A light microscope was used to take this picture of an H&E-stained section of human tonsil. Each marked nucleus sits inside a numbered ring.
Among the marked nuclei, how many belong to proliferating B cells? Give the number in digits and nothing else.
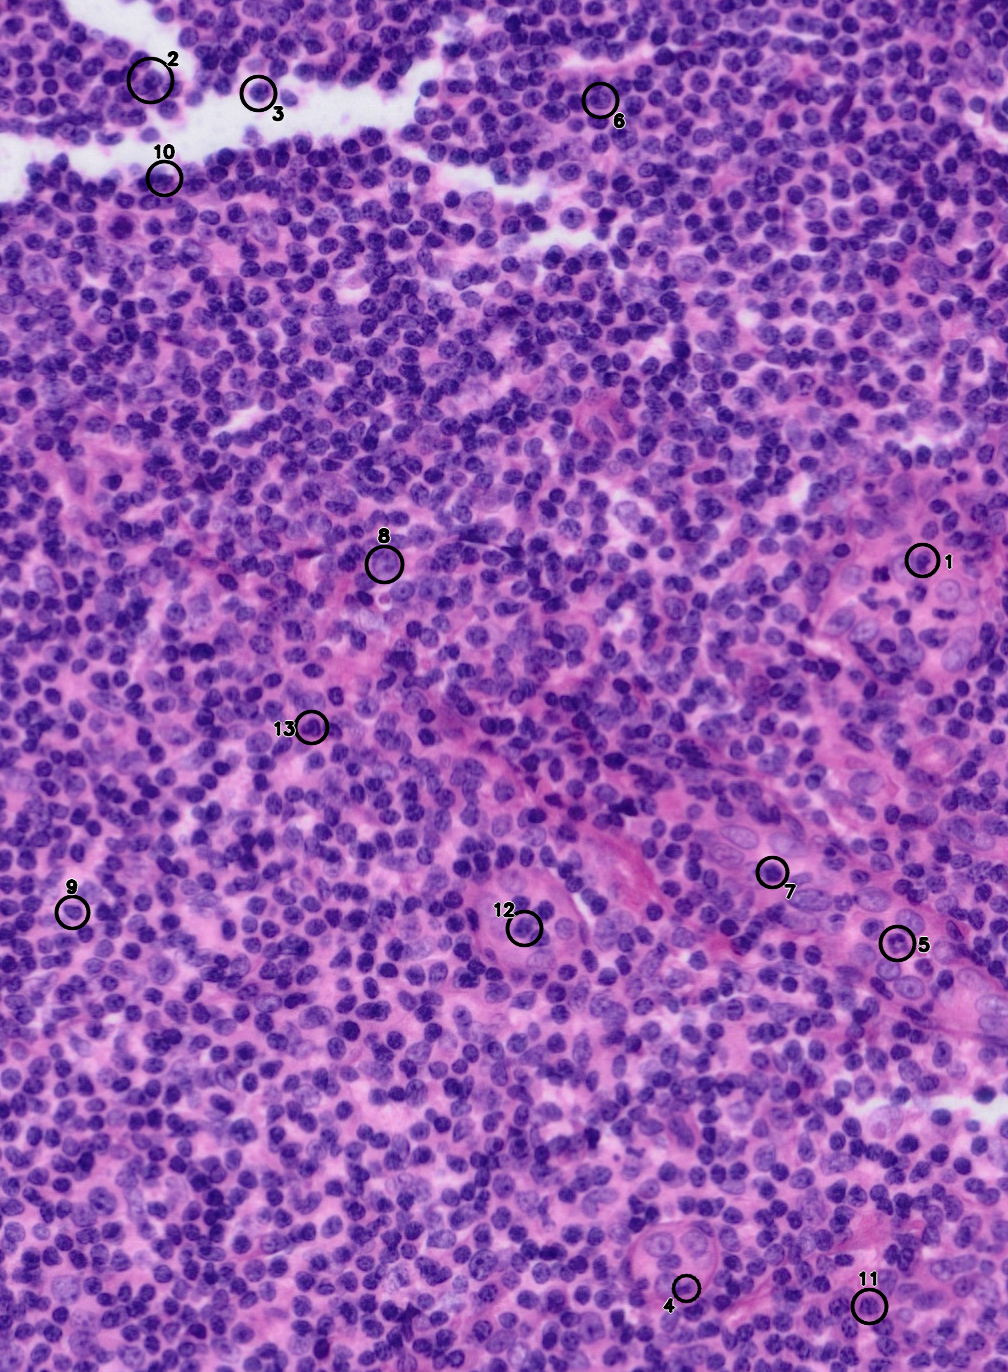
1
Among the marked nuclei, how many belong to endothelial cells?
5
